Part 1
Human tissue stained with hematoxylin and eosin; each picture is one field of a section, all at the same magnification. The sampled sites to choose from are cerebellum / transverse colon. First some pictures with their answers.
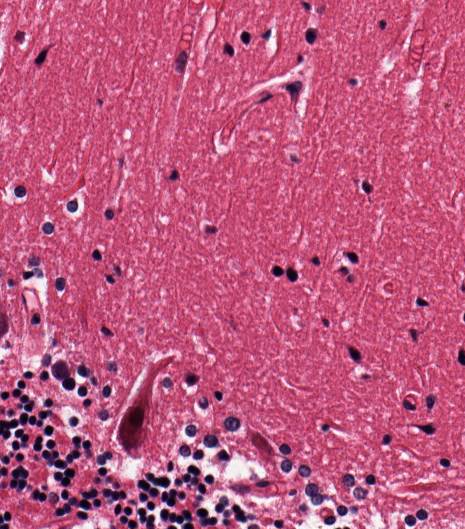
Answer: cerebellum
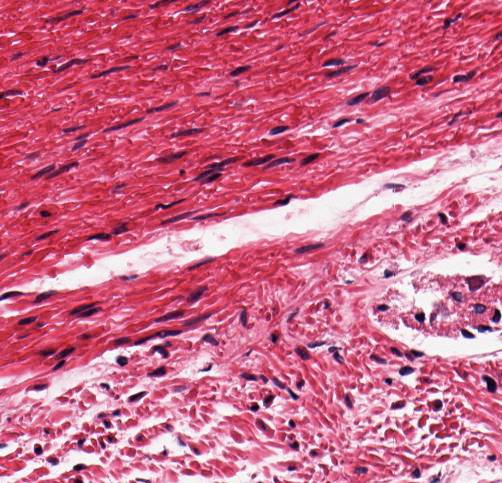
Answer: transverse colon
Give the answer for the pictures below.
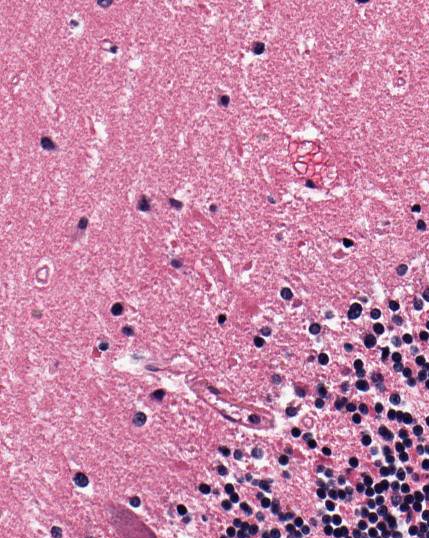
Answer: cerebellum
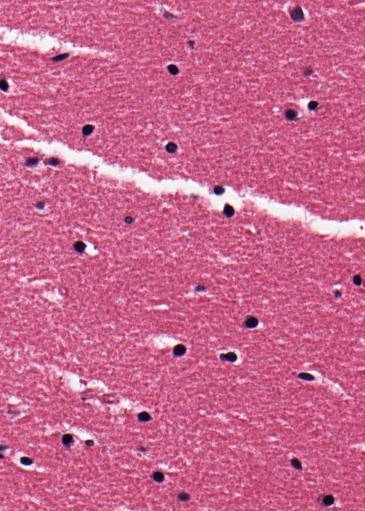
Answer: cerebellum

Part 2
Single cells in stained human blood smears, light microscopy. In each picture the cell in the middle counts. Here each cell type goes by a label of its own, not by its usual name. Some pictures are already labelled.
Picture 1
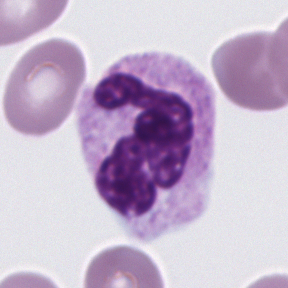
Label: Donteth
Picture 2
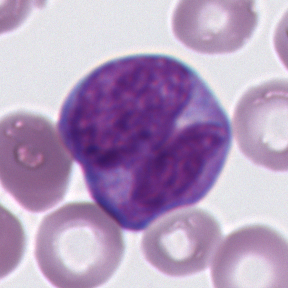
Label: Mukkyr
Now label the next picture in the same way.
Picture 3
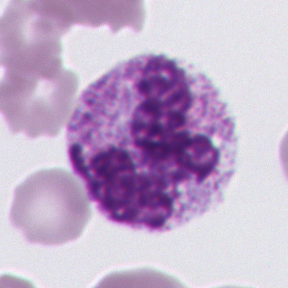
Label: Donteth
